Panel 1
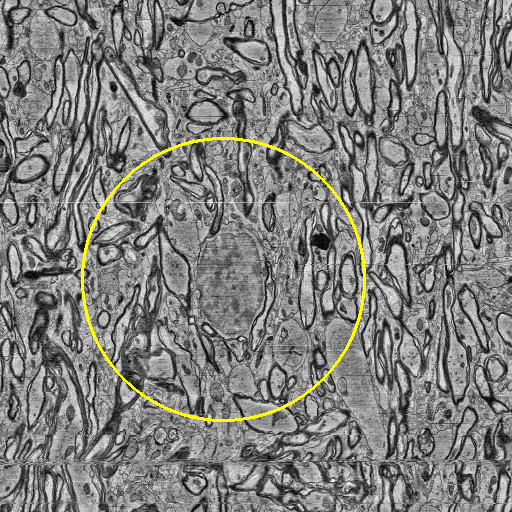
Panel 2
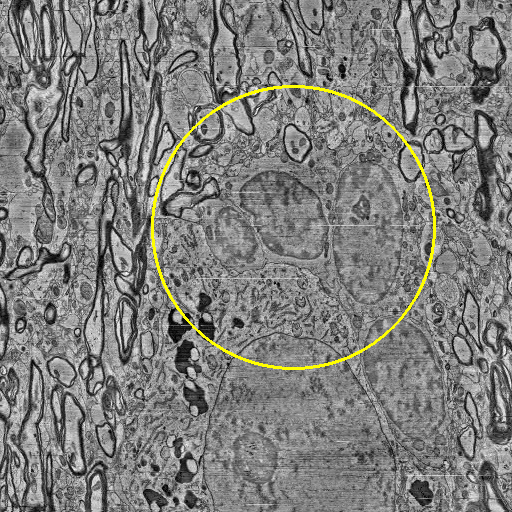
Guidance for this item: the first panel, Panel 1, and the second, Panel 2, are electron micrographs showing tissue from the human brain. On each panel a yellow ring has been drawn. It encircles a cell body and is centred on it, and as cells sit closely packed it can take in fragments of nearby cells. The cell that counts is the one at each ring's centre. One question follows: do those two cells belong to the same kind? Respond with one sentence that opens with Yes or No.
Yes, the cells at the ring centres in Panel 1 and Panel 2 are of one kind.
